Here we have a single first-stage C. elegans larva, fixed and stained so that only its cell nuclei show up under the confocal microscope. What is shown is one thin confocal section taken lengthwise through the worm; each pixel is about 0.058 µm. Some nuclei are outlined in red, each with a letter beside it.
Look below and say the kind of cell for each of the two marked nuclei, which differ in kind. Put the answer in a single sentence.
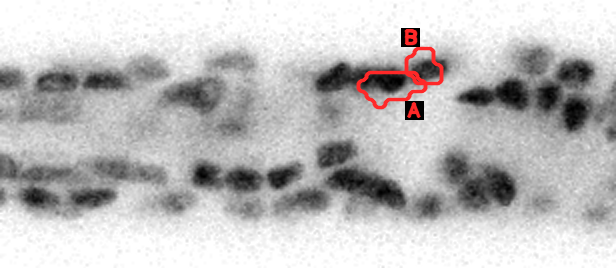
One is from a neuron, namely A, and the other, B, is from a body wall muscle cell.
